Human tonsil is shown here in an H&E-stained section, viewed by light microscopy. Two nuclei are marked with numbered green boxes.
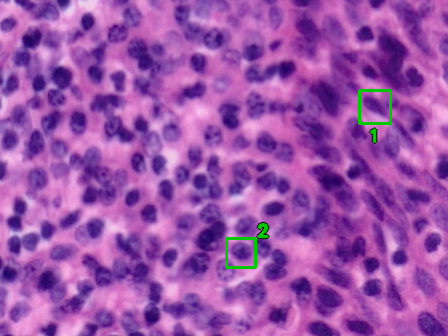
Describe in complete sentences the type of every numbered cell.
Cell 1 is a squamous epithelial cell and cell 2 is a plasma cell.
